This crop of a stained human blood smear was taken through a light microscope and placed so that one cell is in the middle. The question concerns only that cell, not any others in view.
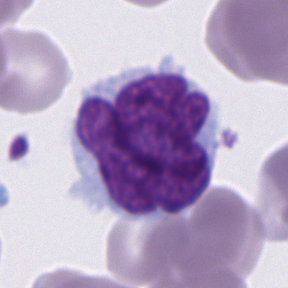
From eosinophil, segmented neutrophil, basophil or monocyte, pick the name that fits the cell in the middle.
monocyte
